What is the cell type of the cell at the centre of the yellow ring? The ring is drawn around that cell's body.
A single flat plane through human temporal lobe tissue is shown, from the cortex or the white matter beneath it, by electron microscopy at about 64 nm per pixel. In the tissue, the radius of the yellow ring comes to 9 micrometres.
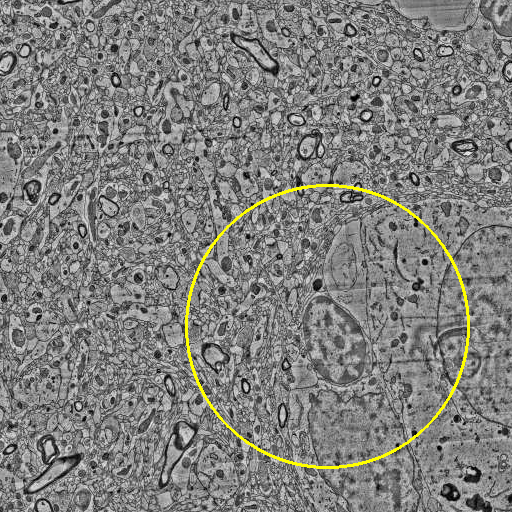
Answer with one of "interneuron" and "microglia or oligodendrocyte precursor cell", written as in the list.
microglia or oligodendrocyte precursor cell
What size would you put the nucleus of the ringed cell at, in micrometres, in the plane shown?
Approximately 6 micrometres long and 4 micrometres wide, in this plane.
